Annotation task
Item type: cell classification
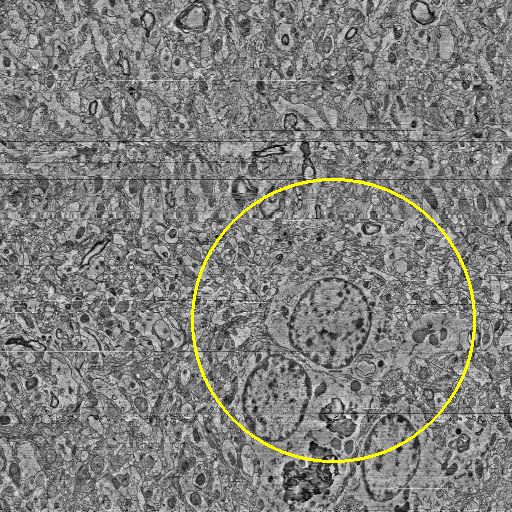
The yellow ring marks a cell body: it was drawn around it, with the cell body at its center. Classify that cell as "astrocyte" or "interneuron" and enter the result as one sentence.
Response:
The ring's center falls on an astrocyte.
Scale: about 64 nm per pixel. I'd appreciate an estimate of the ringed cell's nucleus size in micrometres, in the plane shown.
In this plane the nucleus measures roughly 6 by 5 micrometers.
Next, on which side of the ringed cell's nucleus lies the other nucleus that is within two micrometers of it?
The other nucleus can be seen to the lower left of it.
